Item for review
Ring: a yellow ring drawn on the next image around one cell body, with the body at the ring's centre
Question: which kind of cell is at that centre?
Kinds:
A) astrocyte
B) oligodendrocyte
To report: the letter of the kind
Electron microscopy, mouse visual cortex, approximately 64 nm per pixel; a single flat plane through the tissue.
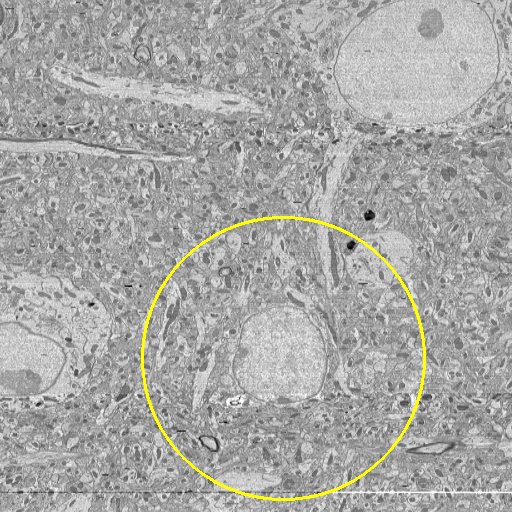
A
